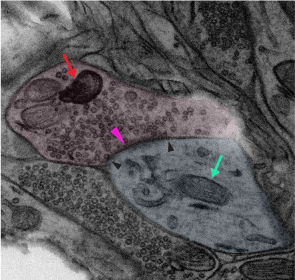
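Electron micrograph of a synapse in neuropil: a pink-shaded presynaptic bouton filled with round clear synaptic vesicles contains an intensely dark mitochondrion. The bouton apposes a blue-shaded postsynaptic profile with a dense thickening along the contact, and the postsynaptic side holds a pale mitochondrion with visible cristae.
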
